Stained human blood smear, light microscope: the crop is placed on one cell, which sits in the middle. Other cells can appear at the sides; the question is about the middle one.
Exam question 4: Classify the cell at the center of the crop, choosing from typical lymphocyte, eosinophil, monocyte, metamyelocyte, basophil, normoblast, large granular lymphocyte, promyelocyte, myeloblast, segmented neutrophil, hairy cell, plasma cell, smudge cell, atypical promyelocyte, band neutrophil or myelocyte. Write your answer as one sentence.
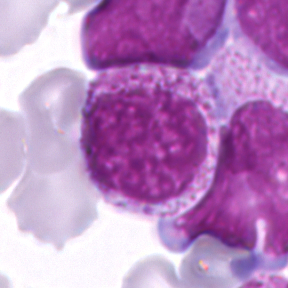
Within this crop, a myelocyte occupies the central position.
